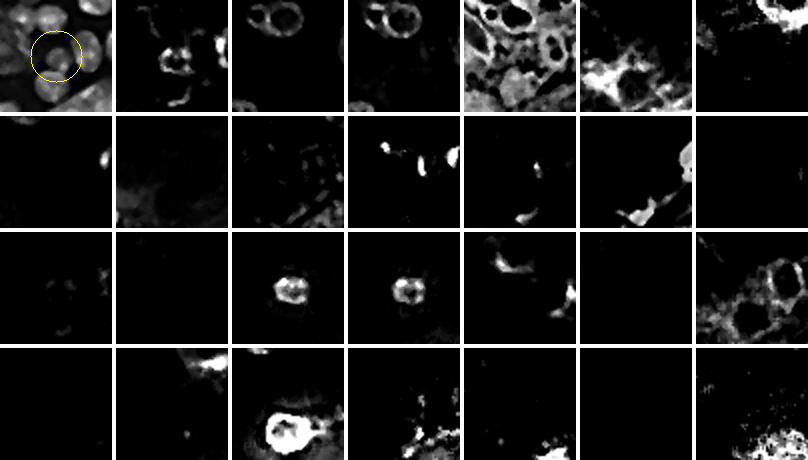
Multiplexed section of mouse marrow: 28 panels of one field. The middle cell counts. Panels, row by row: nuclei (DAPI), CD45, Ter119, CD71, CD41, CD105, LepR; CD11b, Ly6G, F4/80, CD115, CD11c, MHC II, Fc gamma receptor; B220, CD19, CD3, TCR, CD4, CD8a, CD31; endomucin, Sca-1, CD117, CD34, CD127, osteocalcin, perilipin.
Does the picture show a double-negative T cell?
Yes.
